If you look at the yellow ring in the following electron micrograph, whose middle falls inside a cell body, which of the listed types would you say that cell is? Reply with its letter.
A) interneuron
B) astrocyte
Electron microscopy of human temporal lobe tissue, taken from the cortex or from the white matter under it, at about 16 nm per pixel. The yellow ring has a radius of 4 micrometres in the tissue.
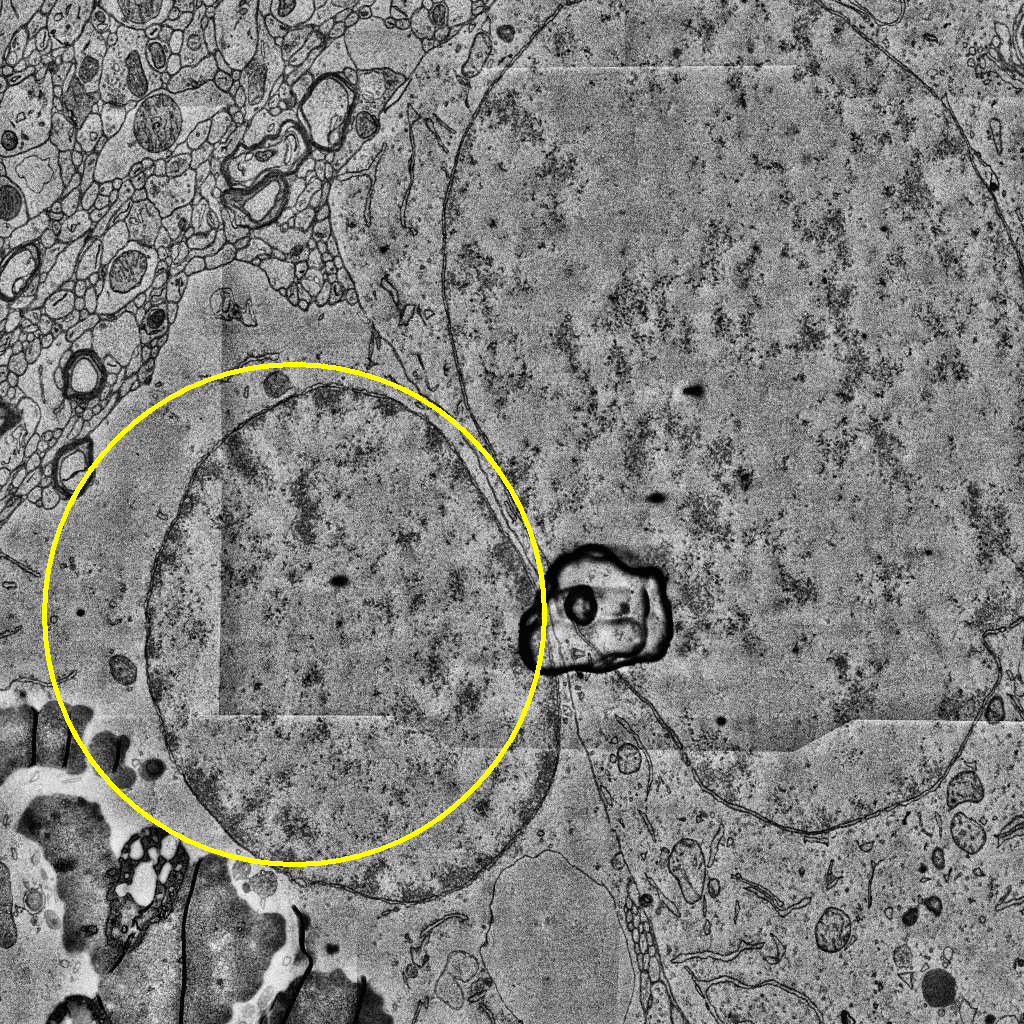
B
